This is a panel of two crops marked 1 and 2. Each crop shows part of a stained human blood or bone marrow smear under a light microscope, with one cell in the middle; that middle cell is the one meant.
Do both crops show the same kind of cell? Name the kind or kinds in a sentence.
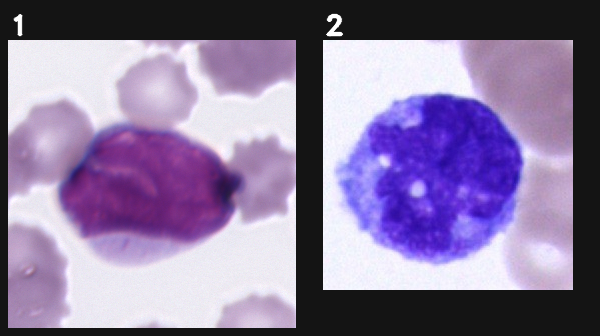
No, the cell in crop 1 is a blast and the one in crop 2 is a monocyte.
